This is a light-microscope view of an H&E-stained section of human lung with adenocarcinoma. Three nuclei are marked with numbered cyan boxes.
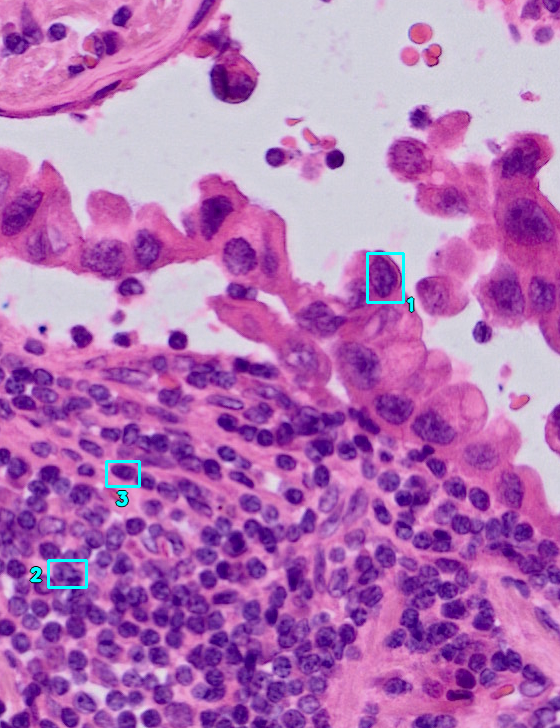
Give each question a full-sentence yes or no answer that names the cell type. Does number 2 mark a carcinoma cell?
No, cell 2 should be read as a lymphocyte instead of a carcinoma cell.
